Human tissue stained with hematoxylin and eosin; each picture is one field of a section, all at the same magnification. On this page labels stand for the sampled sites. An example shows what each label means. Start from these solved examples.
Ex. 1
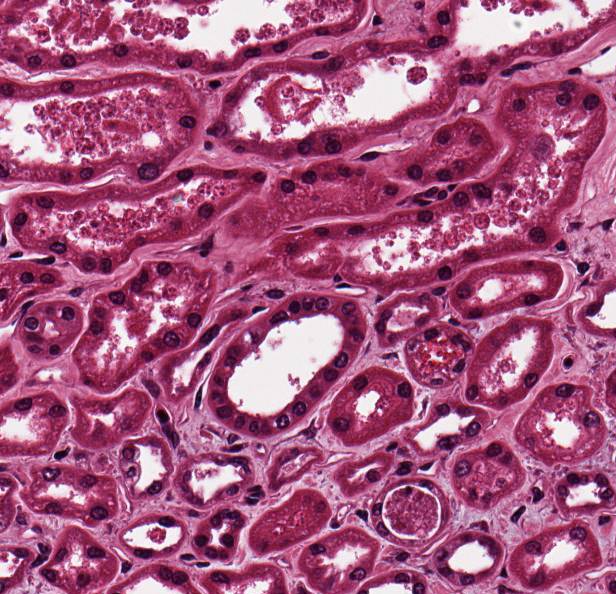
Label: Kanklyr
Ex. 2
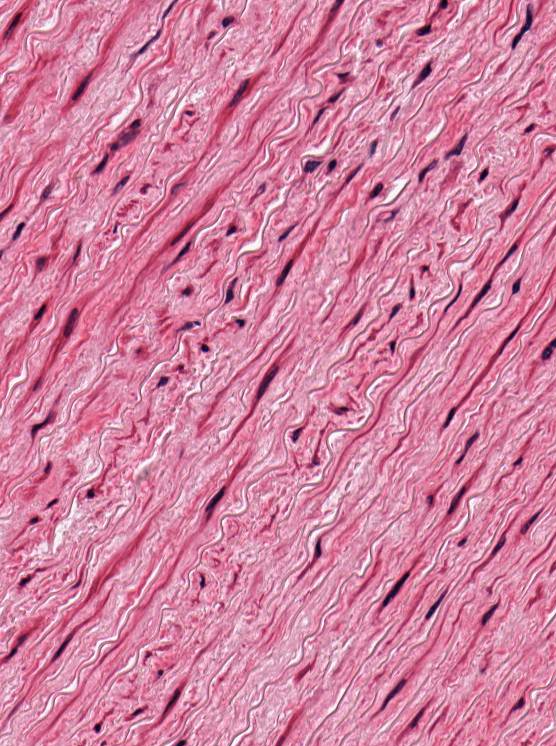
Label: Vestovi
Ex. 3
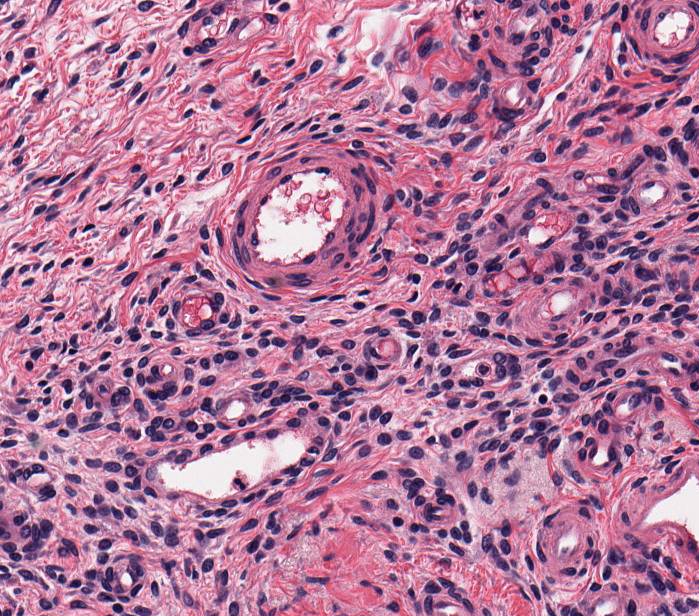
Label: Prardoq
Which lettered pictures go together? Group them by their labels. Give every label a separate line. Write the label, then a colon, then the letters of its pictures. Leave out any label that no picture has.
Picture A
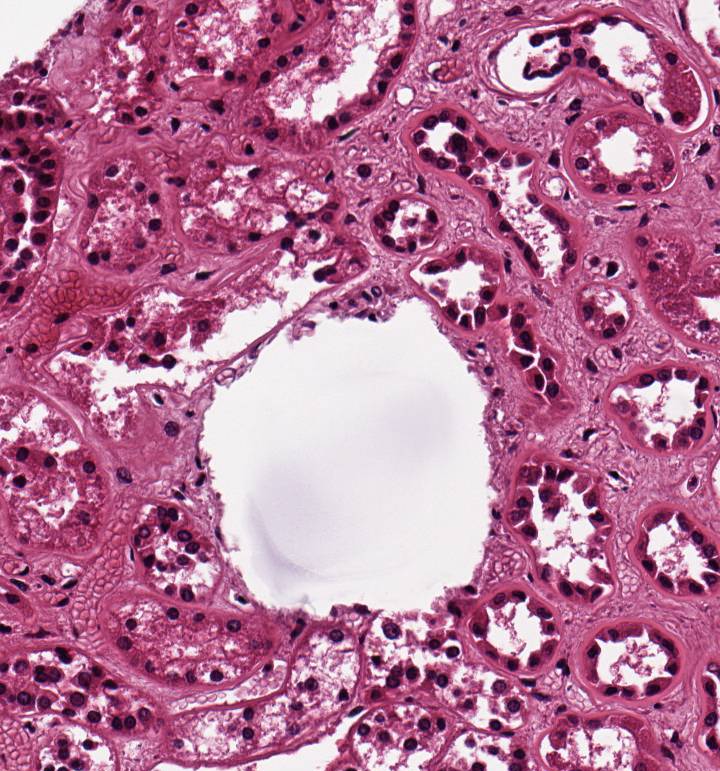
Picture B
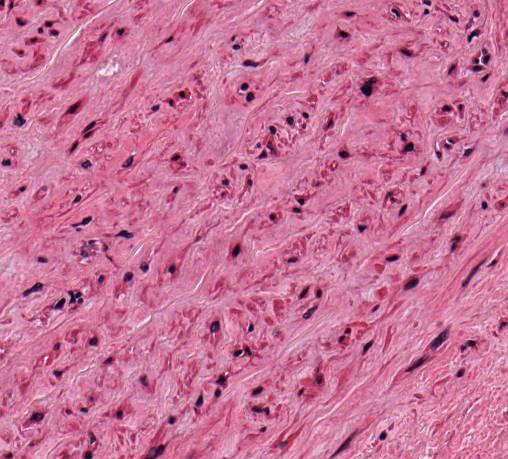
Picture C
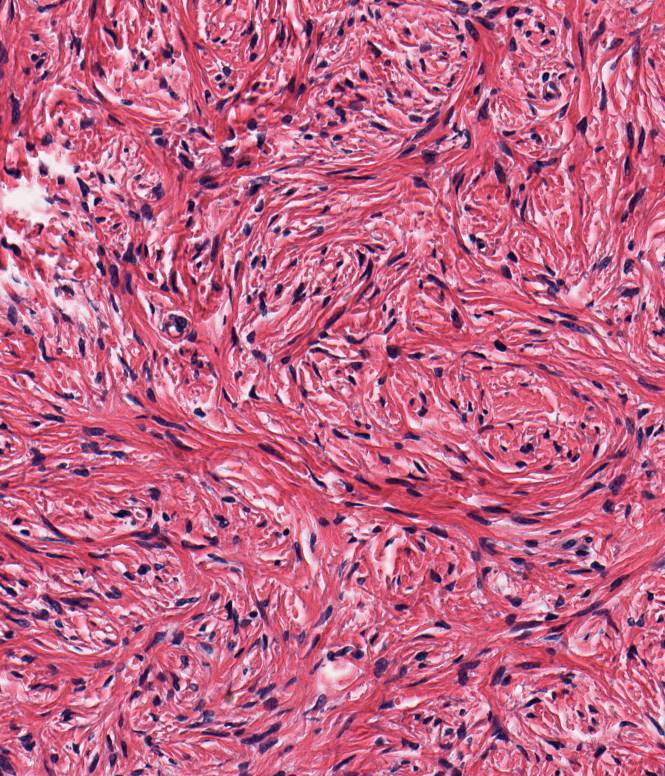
Kanklyr: A
Vestovi: B
Prardoq: C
